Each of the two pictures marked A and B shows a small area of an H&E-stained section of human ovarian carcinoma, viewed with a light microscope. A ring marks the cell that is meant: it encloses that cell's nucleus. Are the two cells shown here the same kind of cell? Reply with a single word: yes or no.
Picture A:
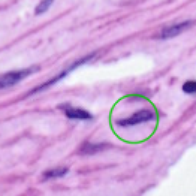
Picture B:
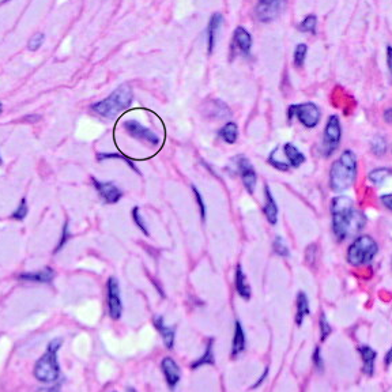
yes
